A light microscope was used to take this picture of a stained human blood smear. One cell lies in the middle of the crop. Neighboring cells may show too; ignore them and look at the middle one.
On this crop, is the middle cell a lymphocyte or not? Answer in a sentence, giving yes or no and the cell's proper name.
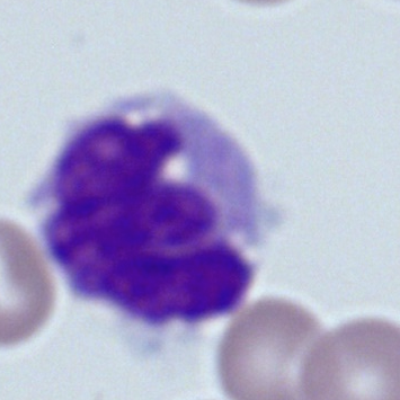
No, the central cell is designated a monocyte and not a lymphocyte.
